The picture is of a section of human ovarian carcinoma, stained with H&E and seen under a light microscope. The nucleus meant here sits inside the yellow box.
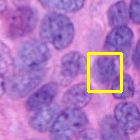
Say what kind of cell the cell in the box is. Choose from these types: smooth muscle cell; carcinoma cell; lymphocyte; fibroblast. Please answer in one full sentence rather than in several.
On this particular slide, the cell in the box is a carcinoma cell.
